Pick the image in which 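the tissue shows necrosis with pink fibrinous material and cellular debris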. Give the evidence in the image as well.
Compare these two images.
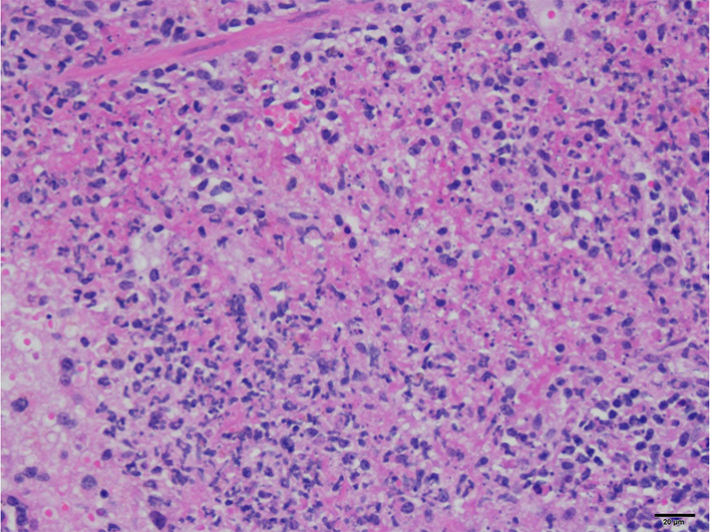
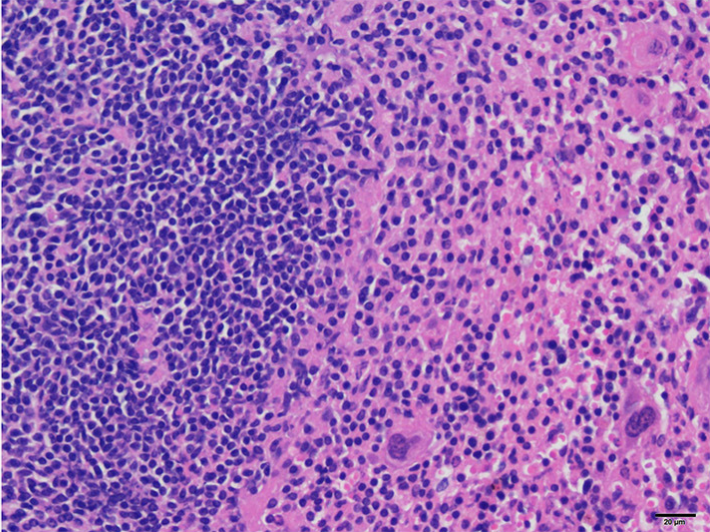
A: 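Second image: densely cellular tissue of intact round nuclei, no pale pink necrotic areas. First image: broad pale pink granular areas with fragmented nuclear debris and scattered cells. So: the first image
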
